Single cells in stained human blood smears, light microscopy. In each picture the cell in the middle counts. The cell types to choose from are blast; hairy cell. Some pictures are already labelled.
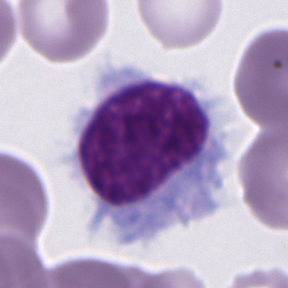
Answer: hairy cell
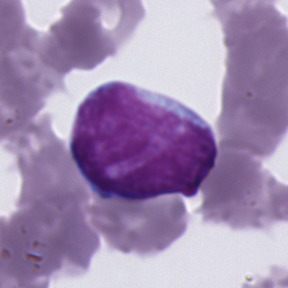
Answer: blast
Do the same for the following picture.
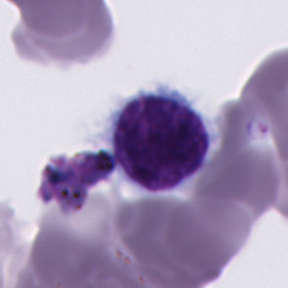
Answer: hairy cell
